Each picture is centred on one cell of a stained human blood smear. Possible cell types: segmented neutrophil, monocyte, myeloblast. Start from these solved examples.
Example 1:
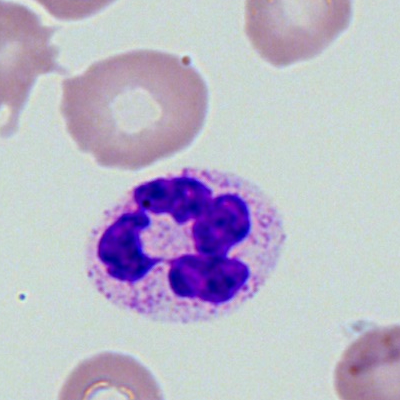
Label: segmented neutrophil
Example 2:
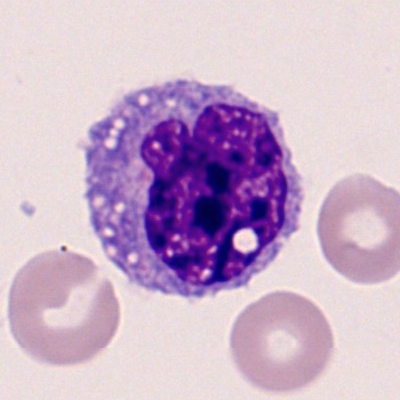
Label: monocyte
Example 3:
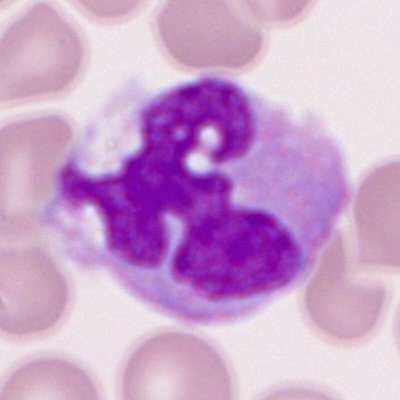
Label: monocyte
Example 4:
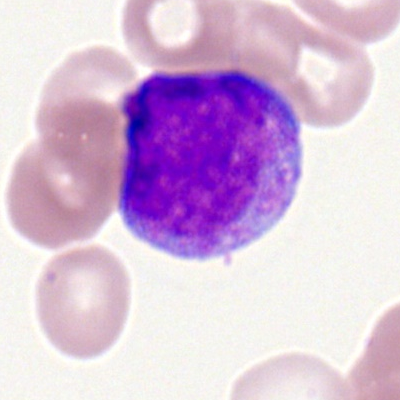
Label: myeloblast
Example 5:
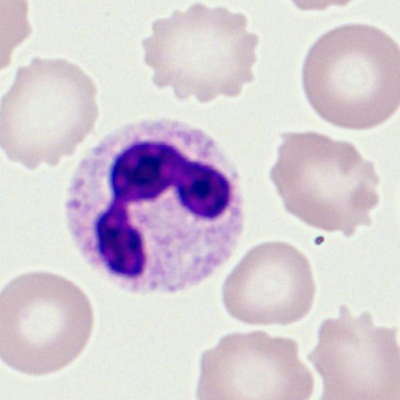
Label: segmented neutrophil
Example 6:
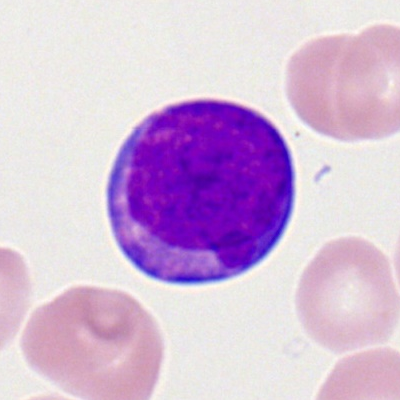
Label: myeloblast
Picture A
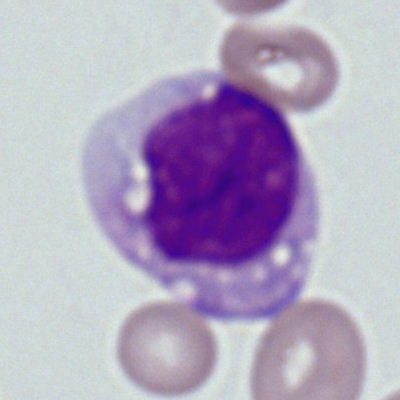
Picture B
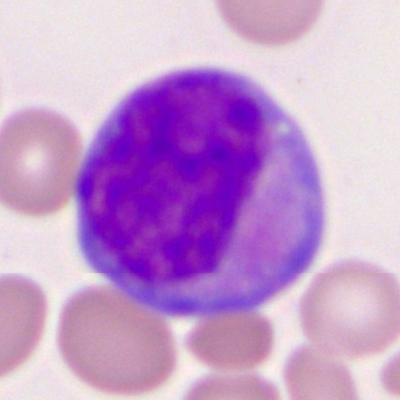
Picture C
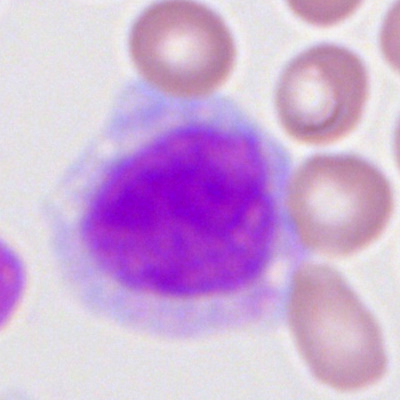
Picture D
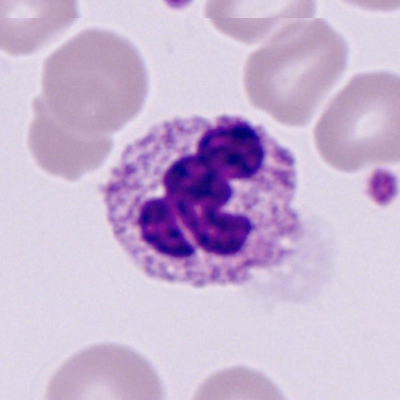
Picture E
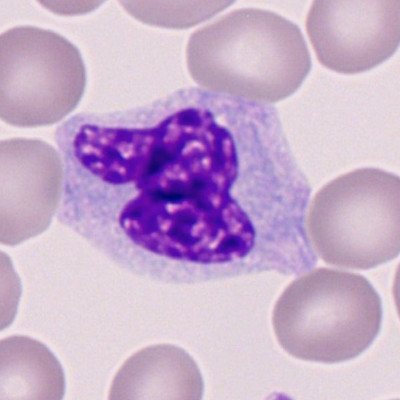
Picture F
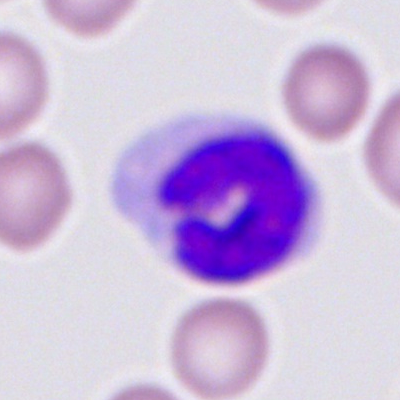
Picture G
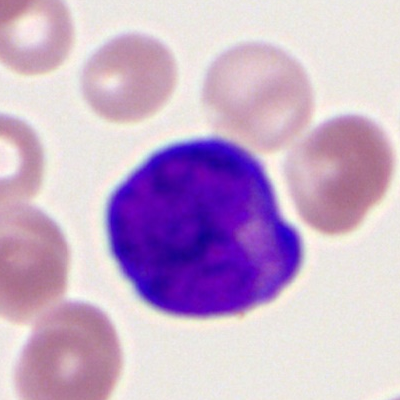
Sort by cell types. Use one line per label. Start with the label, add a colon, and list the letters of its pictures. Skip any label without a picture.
segmented neutrophil: D
monocyte: A, C, E, F
myeloblast: B, G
